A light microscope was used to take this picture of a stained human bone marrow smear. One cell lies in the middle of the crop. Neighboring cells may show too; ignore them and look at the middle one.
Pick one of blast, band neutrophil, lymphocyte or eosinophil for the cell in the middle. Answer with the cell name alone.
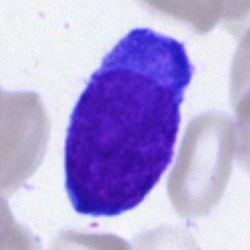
blast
